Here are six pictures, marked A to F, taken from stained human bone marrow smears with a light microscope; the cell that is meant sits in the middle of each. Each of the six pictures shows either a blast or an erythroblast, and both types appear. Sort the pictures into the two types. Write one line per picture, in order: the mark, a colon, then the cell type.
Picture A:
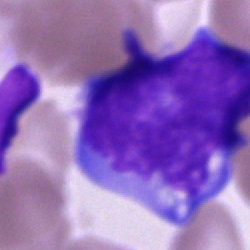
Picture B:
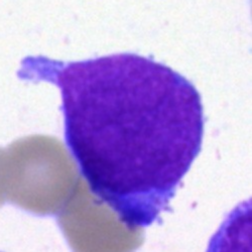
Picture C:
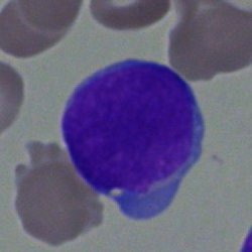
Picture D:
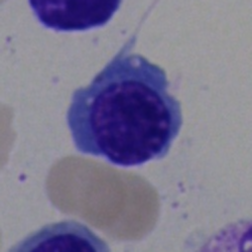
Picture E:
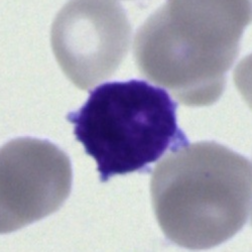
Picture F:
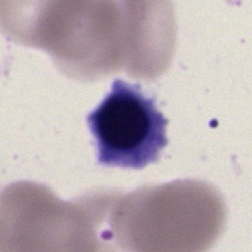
A: blast
B: blast
C: blast
D: erythroblast
E: blast
F: erythroblast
